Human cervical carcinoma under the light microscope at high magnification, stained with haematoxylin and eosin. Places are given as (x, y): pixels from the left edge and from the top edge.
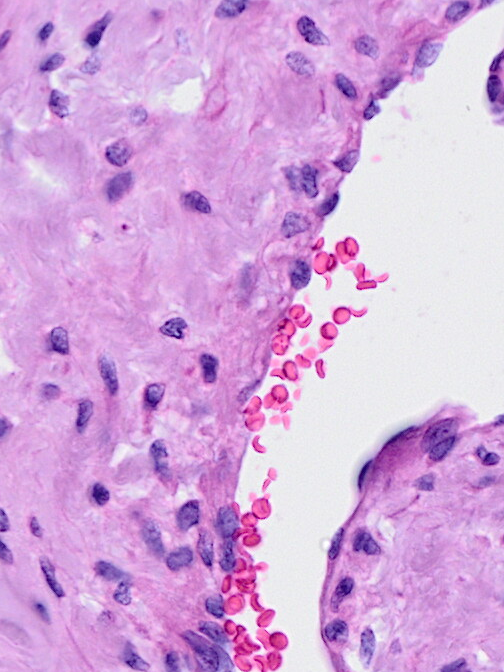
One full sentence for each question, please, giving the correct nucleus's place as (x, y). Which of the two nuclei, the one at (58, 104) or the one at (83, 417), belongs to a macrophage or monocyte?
The correct choice is the nucleus at (58, 104), which belongs to a macrophage or monocyte.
